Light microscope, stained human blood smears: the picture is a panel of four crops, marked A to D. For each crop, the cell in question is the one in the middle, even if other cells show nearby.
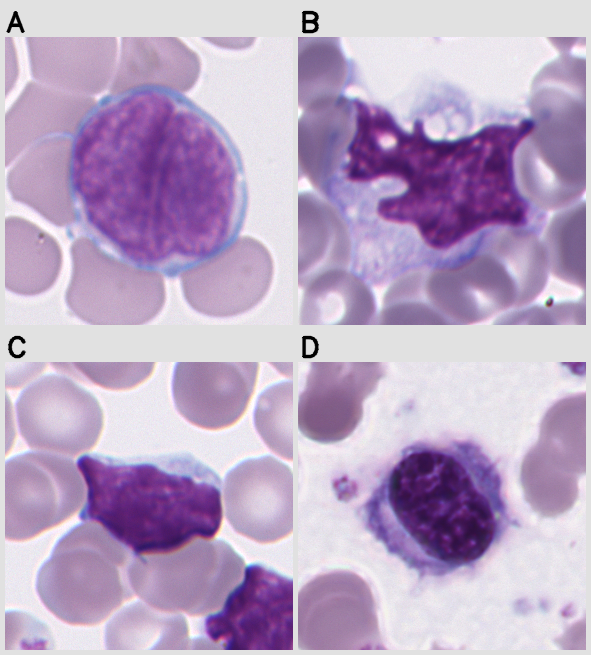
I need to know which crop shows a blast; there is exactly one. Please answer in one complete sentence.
Crop A shows a blast, and no other crop does.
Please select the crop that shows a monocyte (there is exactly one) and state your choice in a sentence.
Among the crops provided, a monocyte occupies the center of crop B.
